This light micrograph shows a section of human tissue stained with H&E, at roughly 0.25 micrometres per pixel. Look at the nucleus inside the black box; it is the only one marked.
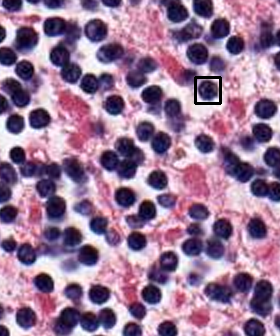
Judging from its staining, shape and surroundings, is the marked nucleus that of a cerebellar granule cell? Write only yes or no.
yes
